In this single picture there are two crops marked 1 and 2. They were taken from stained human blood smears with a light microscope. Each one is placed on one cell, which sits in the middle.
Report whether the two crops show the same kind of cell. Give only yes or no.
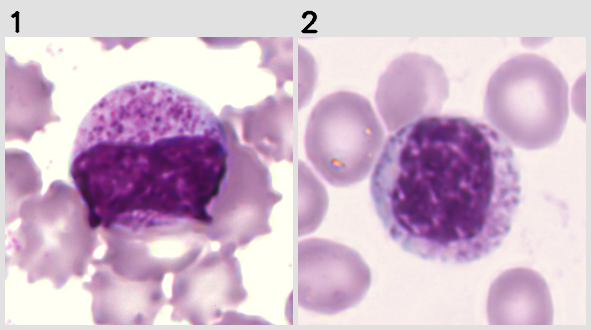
yes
